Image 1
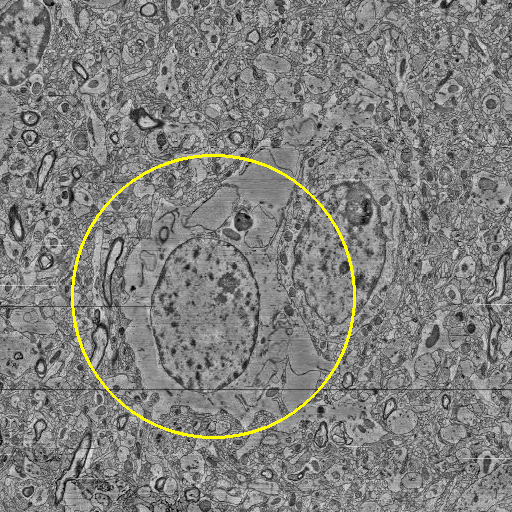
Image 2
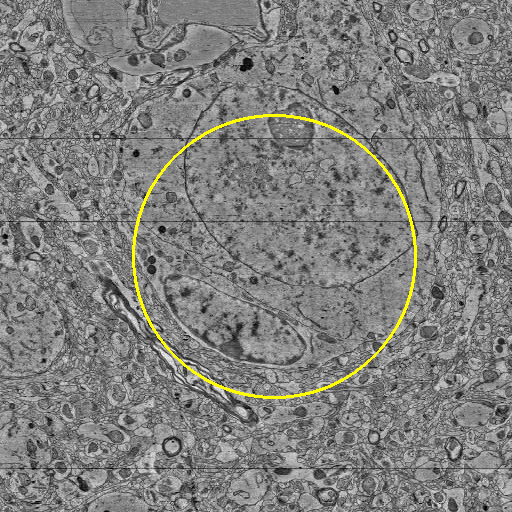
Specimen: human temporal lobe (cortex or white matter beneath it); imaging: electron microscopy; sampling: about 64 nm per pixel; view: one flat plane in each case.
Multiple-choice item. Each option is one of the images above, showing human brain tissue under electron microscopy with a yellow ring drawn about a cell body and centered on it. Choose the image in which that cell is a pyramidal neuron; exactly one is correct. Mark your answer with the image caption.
Image 2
